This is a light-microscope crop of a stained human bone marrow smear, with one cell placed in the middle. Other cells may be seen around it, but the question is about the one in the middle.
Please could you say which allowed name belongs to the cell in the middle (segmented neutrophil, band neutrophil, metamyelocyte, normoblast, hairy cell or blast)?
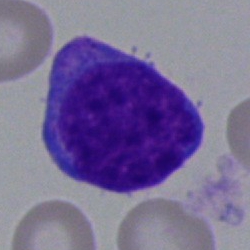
blast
